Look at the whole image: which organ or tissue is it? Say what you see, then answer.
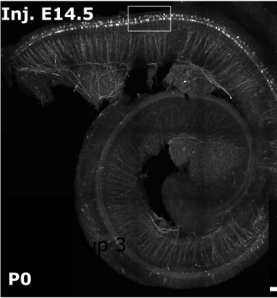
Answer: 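The tissue forms a coiled spiral. Bright dots line up in a band along the outer edge of the upper turn. Radial striations cross the spiral toward its center. That points to this answer: cochleas.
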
